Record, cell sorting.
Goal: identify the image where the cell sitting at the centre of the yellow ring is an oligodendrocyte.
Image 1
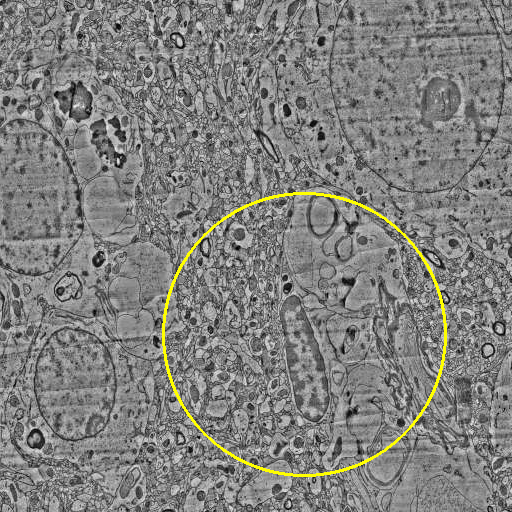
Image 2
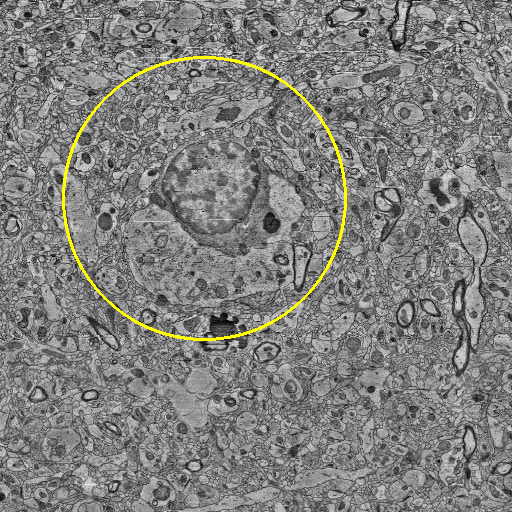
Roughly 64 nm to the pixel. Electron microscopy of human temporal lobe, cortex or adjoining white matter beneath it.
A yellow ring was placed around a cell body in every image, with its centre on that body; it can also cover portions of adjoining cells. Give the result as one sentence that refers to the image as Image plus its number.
Image 2 shows the requested cell sitting right at the centre of its ring.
